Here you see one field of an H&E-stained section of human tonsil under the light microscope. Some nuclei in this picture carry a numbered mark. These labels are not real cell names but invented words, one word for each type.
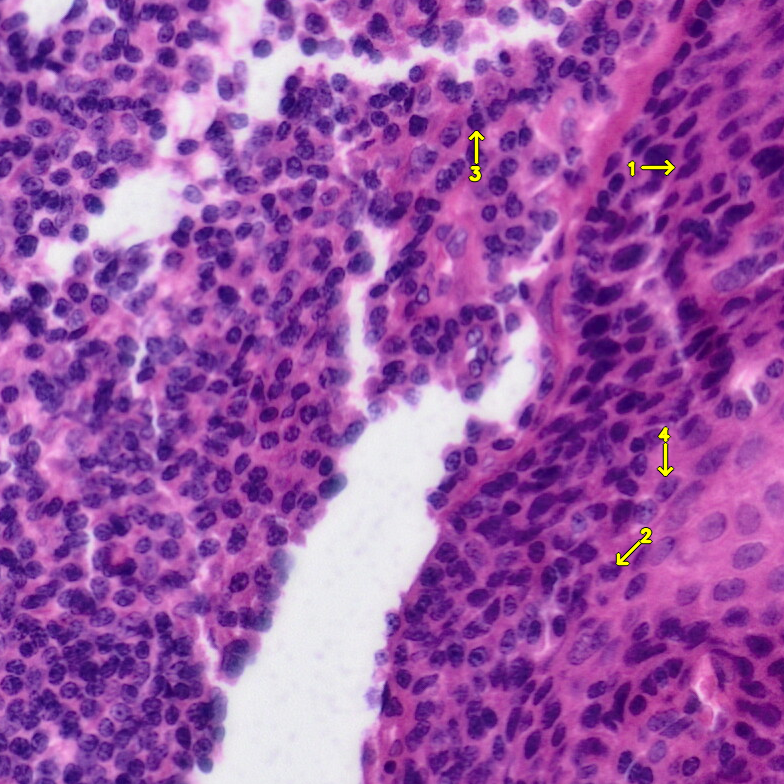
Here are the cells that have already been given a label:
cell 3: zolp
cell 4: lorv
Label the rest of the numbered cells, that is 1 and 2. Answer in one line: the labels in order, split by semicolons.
lorv; lorv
